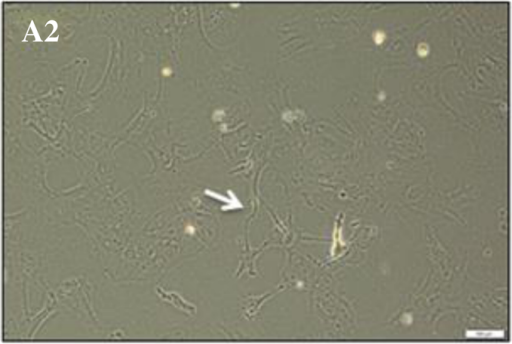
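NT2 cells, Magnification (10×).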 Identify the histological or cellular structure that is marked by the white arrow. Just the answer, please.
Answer: neuronal morphology with extended network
